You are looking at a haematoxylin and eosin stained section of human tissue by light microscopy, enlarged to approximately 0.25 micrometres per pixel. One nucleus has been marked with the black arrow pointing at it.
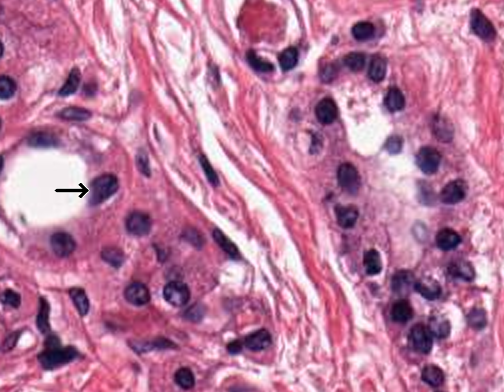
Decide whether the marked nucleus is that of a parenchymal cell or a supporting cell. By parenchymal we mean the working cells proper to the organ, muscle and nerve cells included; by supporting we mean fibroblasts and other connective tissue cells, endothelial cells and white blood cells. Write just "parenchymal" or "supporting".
parenchymal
